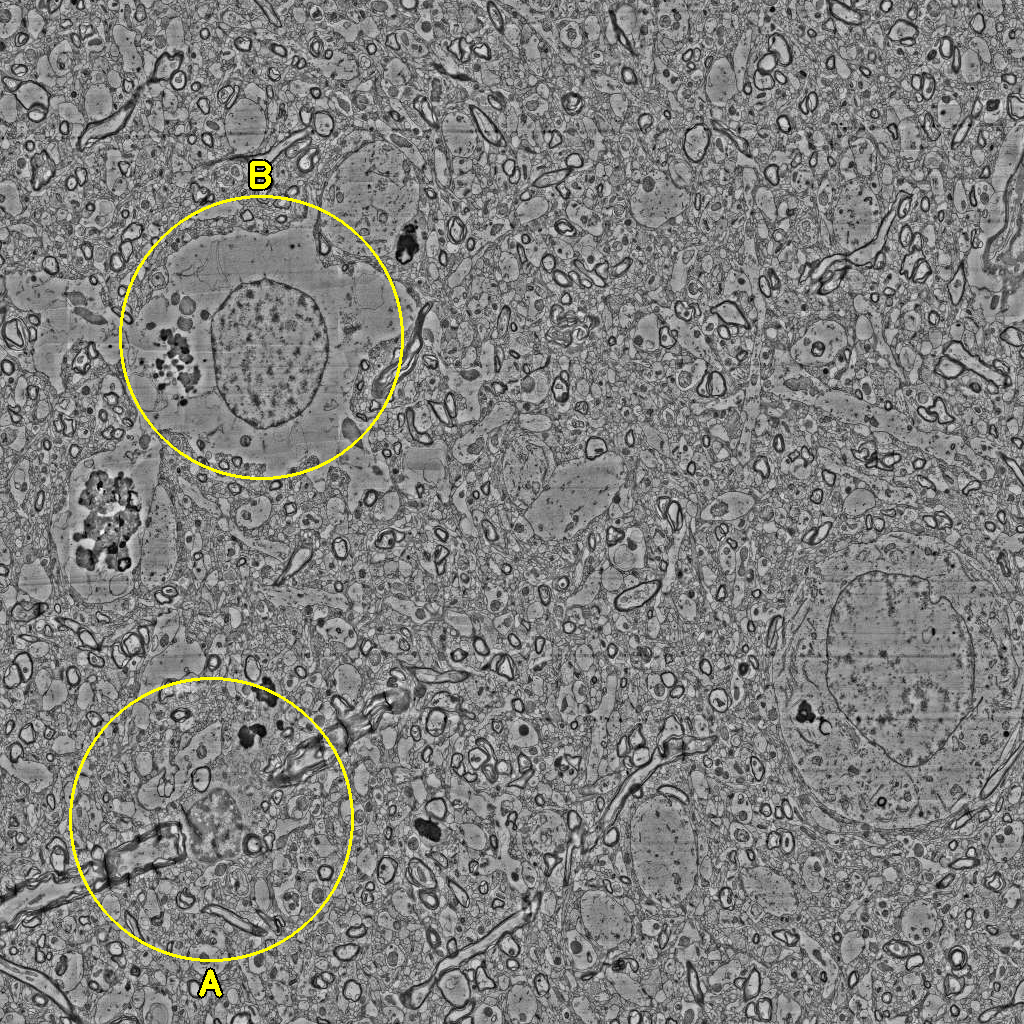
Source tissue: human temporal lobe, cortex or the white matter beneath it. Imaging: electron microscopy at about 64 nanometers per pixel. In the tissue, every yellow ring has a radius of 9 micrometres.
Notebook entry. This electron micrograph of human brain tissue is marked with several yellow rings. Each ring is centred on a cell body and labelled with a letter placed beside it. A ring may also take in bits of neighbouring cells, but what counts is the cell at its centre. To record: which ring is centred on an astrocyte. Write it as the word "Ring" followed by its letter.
Ring B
